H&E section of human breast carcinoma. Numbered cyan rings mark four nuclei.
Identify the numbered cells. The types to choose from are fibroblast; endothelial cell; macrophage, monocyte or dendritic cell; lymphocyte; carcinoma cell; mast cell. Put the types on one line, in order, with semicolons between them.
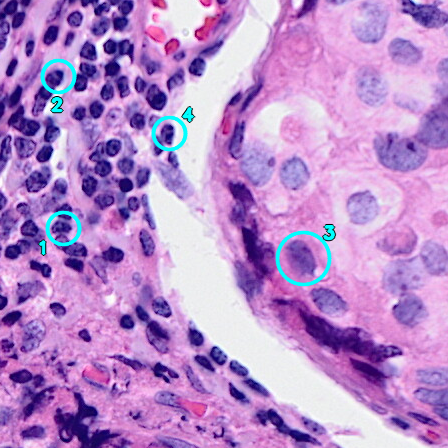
lymphocyte; lymphocyte; carcinoma cell; lymphocyte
